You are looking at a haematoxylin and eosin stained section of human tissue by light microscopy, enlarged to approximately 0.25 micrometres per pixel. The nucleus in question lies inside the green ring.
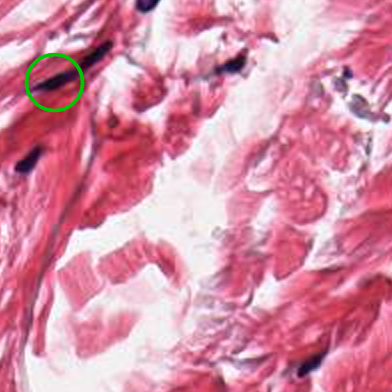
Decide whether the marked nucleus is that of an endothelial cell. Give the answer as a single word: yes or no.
no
